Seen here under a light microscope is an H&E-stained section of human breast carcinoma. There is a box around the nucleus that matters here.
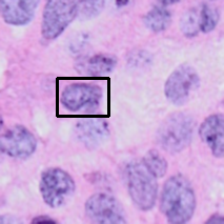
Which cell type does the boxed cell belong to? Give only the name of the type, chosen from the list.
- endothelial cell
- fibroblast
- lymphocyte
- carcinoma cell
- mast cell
carcinoma cell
